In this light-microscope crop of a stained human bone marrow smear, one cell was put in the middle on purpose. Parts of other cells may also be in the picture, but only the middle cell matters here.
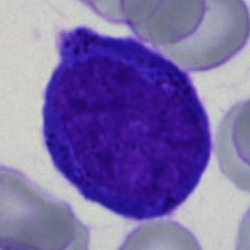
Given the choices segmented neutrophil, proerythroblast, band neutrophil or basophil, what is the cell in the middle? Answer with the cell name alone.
proerythroblast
